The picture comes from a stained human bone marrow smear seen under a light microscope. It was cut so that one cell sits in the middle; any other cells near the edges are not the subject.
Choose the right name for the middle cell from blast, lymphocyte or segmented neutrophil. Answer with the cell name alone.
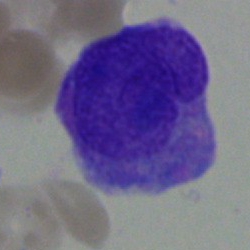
blast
